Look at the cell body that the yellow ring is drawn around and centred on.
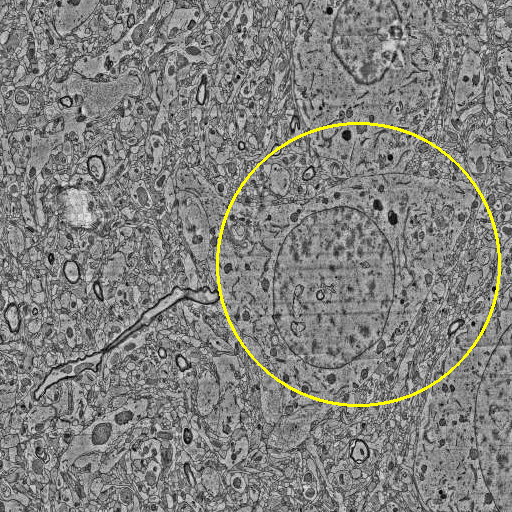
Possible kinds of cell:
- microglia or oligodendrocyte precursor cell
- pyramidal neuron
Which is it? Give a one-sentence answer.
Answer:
The centred cell body is that of a pyramidal neuron.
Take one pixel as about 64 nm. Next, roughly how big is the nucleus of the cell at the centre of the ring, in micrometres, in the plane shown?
In this plane, about 10 micrometres in length and 8 in width.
